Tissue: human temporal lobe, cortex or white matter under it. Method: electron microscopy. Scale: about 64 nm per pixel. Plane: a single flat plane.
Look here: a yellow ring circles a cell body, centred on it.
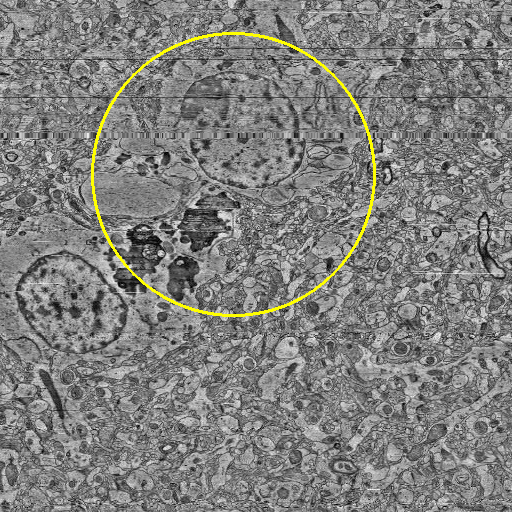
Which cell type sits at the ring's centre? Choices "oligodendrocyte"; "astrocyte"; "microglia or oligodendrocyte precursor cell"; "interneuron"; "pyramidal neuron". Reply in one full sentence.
The cell at the centre of the yellow ring in the picture is an astrocyte.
